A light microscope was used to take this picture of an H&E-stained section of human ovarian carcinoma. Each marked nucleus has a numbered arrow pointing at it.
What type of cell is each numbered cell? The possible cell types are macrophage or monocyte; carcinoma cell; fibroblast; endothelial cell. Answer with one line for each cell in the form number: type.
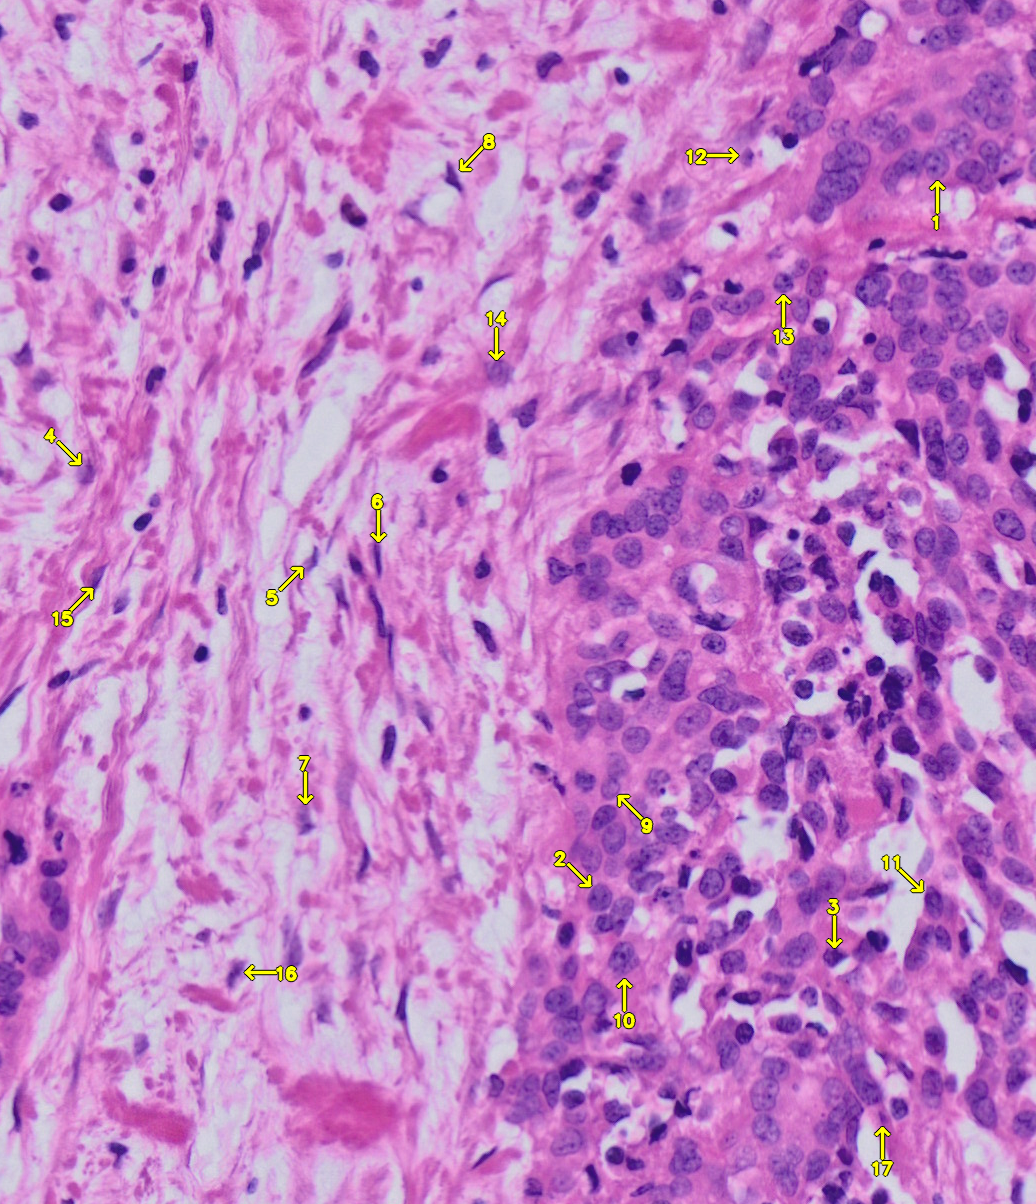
1: carcinoma cell
2: carcinoma cell
3: carcinoma cell
4: fibroblast
5: fibroblast
6: fibroblast
7: fibroblast
8: fibroblast
9: carcinoma cell
10: carcinoma cell
11: carcinoma cell
12: fibroblast
13: macrophage or monocyte
14: fibroblast
15: fibroblast
16: fibroblast
17: carcinoma cell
